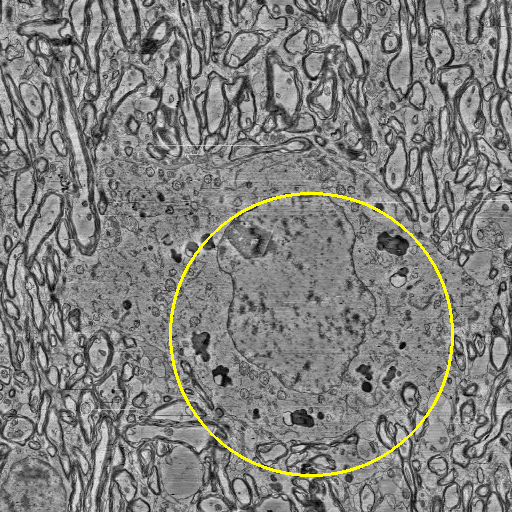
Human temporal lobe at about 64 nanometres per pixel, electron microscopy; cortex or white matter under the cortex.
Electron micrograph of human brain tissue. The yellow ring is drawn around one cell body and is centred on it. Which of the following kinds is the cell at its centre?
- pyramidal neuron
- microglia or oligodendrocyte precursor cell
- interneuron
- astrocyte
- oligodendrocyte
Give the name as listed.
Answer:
pyramidal neuron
